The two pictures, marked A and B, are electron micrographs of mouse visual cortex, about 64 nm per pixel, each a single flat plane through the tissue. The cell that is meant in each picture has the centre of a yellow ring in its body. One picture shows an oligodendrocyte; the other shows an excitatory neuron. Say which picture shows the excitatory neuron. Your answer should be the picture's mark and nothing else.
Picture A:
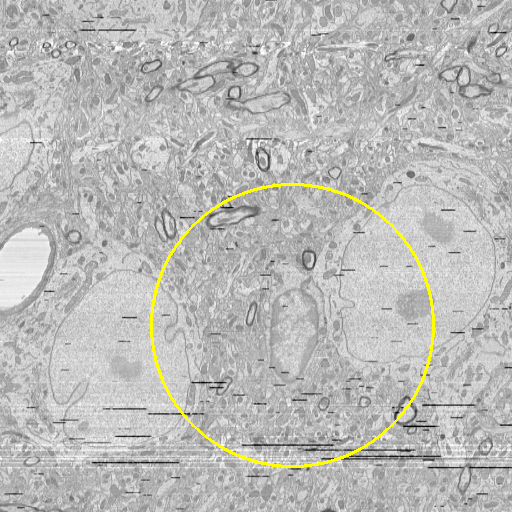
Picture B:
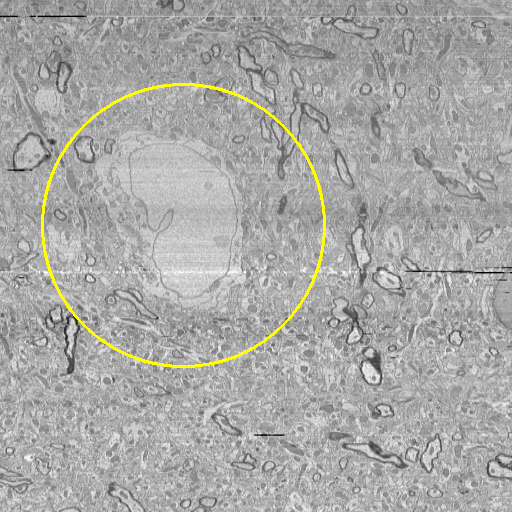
B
